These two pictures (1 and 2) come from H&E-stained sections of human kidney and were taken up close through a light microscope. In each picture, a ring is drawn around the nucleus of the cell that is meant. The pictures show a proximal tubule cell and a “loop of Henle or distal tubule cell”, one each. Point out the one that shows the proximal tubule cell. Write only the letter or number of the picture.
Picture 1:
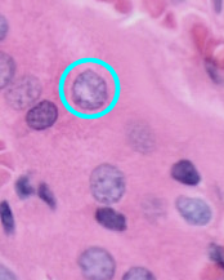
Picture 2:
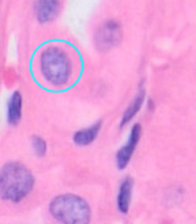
1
